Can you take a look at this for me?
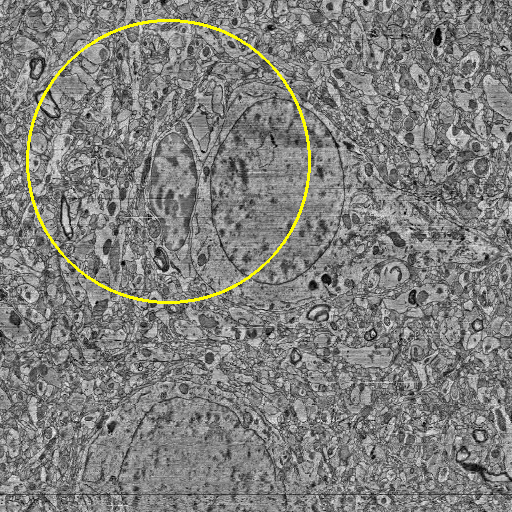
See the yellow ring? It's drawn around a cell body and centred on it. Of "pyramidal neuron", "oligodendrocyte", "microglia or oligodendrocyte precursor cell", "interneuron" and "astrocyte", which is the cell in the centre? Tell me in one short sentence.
The one in the centre is a microglial cell or oligodendrocyte precursor cell.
